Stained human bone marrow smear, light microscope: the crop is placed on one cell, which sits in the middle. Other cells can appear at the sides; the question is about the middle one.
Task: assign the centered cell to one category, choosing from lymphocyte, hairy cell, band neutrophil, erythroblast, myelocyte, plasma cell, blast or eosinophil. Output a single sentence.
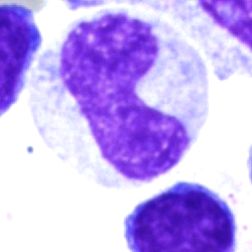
The cell at the heart of this crop is a band neutrophil.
